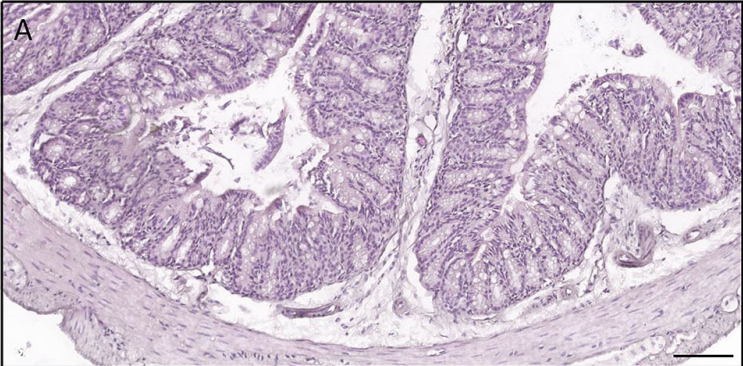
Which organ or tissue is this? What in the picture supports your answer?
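Straight tubular crypts stand side by side in the mucosa. No villi are present. A muscular layer runs beneath the mucosa.
Colon.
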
